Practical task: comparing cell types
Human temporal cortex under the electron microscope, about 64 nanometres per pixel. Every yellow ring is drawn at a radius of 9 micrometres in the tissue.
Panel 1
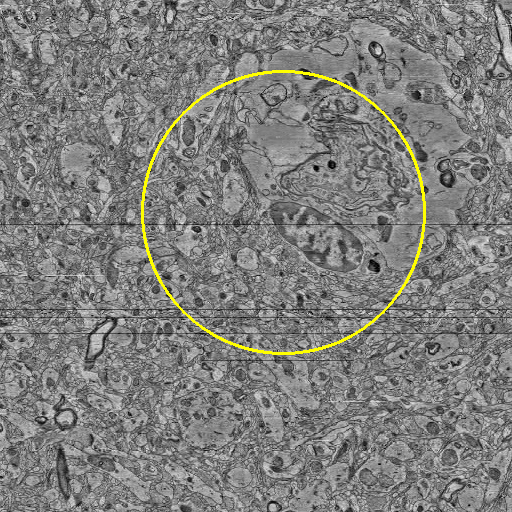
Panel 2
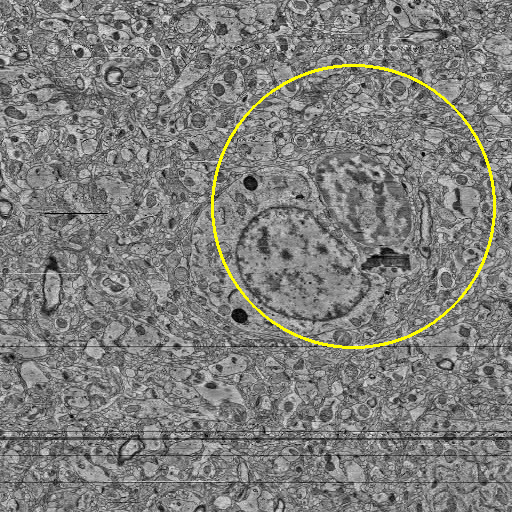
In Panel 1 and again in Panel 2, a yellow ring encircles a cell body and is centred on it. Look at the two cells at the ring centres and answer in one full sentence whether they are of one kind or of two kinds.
The two cells sitting at the ring centres of Panels 1 and 2 are of two kinds.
